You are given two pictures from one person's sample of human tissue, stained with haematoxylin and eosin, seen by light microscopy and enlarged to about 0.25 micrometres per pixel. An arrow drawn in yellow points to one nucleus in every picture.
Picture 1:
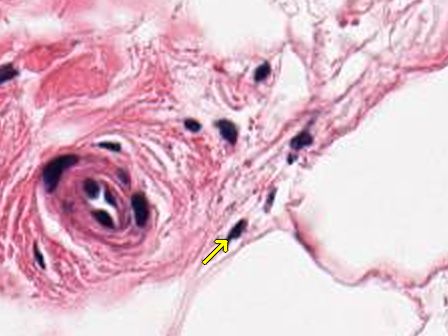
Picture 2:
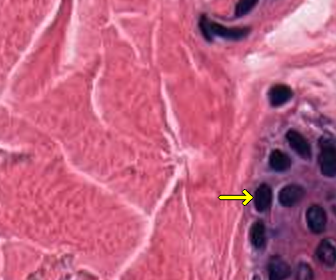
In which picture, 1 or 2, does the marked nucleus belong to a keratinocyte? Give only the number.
2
